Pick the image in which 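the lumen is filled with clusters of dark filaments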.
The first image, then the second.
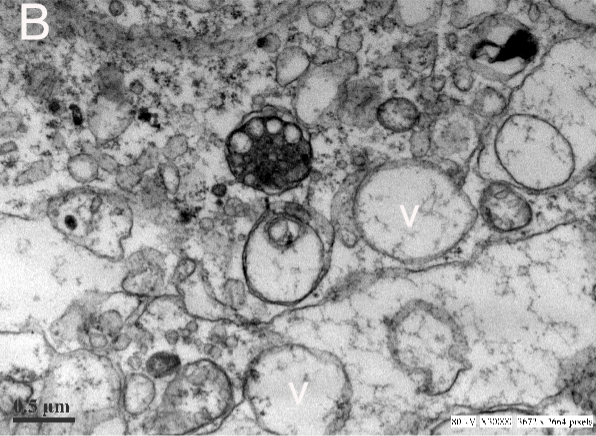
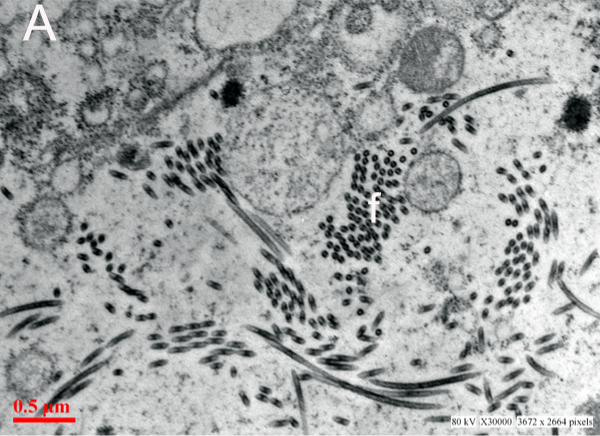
The second image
